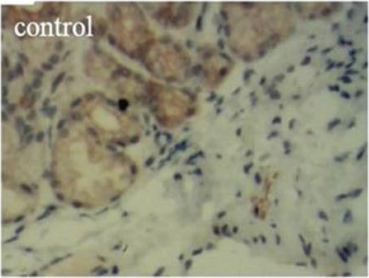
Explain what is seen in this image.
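Glands sit in loose connective tissue here: clusters of cuboidal glandular cells at upper left are arranged around small lumina and show pale brown cytoplasm. The surrounding stroma is loose and pale, with scattered blue nuclei of fibroblasts and little brown staining.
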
